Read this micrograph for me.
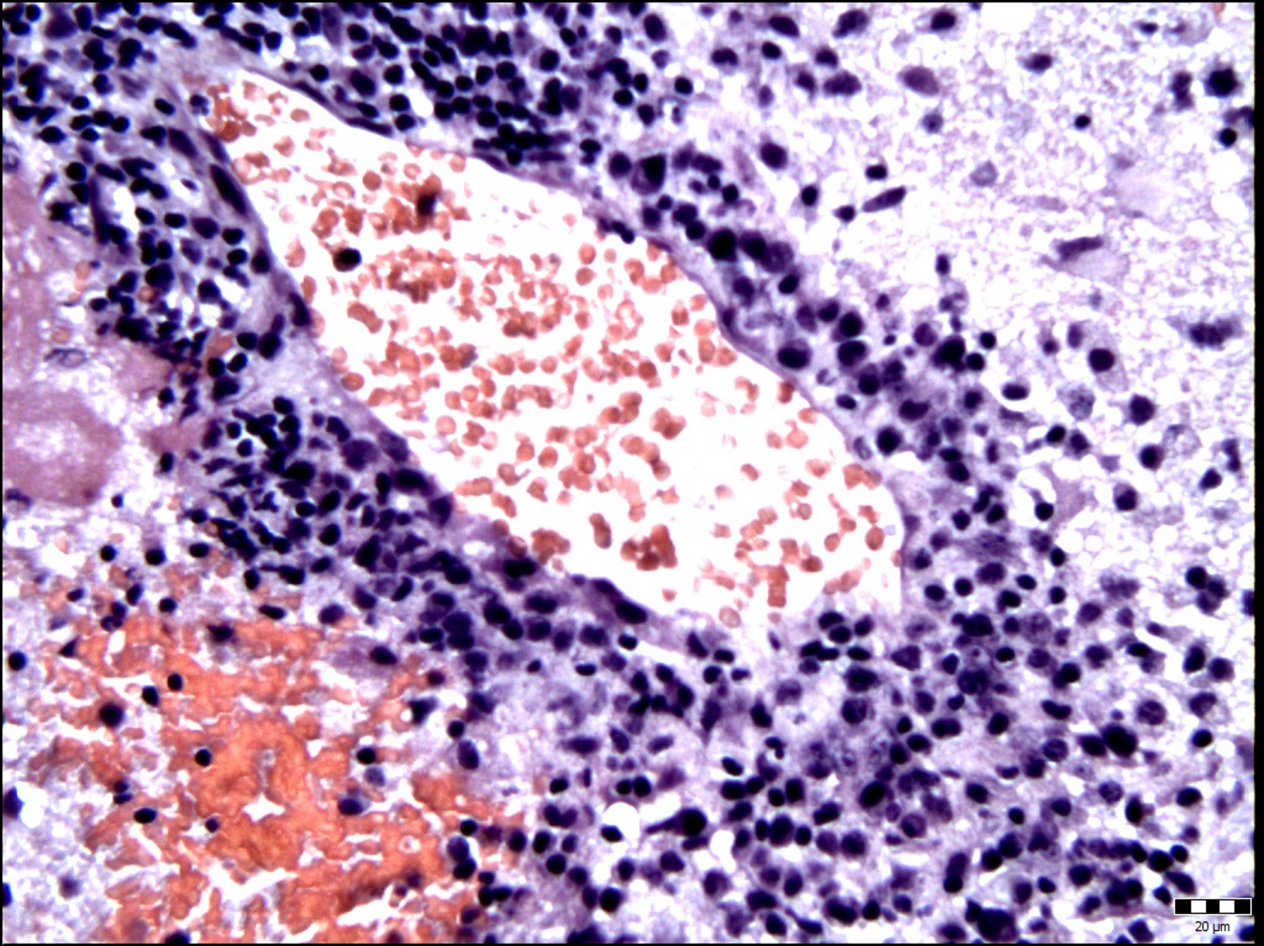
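This section of brain tissue shows a large congested blood vessel cuffed by a dense accumulation of mononuclear inflammatory cells. The vessel runs diagonally across the centre, and its lumen is filled with scattered orange-red red blood cells. Many layers of small round cells surround the vessel wall; each has a single dark purple round nucleus and very little cytoplasm. Farther from the vessel these cells thin out into pale pink tissue that is loose and finely vacuolated, most clearly at the upper right, giving a spongy, edematous look. At the lower left, a patch of orange-red material lies in the tissue outside the vessel.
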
